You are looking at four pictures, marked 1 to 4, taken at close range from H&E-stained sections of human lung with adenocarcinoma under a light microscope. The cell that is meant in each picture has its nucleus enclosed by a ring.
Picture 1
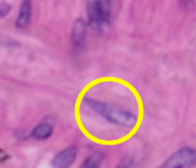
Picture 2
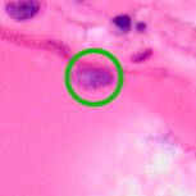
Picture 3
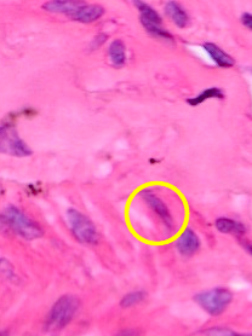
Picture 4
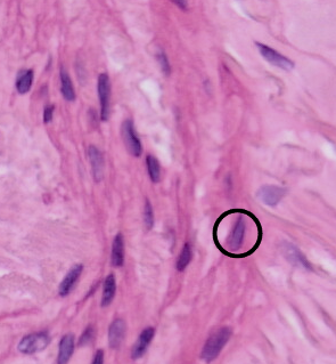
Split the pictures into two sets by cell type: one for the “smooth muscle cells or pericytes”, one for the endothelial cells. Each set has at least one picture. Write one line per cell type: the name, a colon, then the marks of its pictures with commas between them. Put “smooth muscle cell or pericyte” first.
smooth muscle cell or pericyte: 1, 3, 4
endothelial cell: 2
